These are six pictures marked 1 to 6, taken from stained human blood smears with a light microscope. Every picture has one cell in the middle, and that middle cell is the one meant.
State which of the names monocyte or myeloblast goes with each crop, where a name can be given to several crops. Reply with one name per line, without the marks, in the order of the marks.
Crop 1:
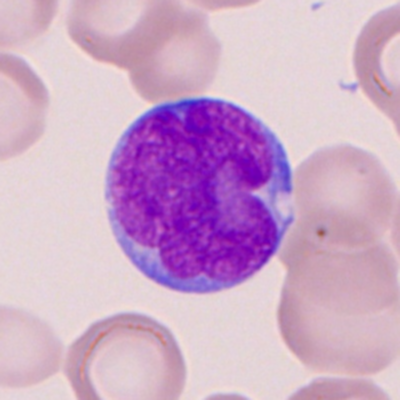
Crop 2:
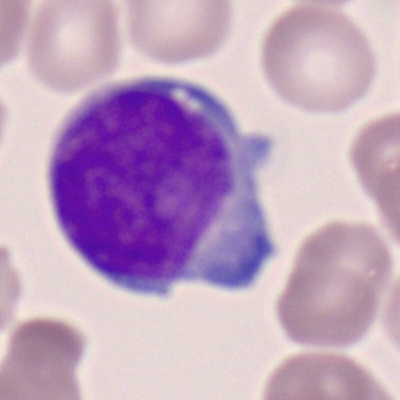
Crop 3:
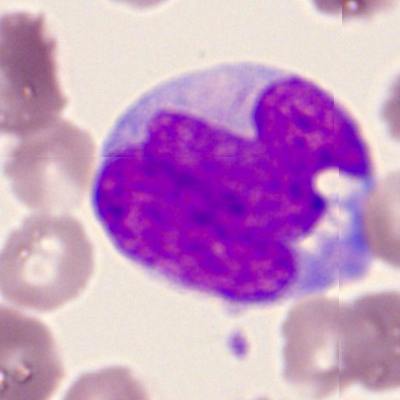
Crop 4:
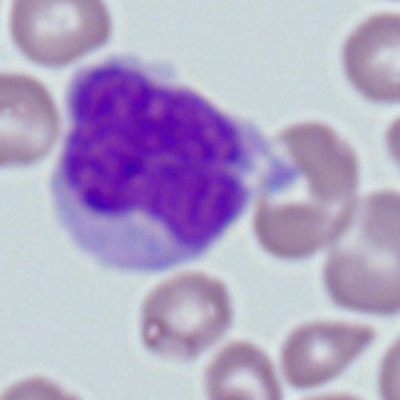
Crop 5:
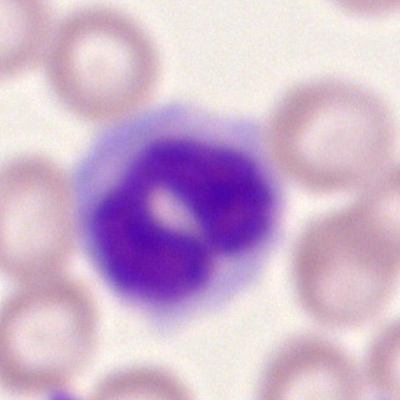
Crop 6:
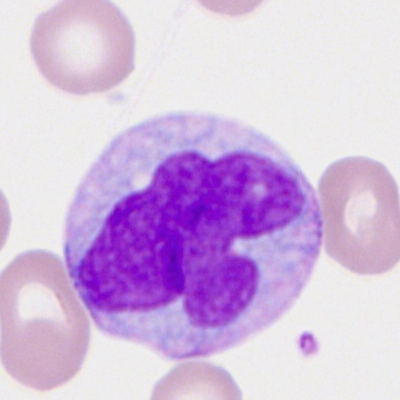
myeloblast
myeloblast
monocyte
monocyte
monocyte
monocyte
